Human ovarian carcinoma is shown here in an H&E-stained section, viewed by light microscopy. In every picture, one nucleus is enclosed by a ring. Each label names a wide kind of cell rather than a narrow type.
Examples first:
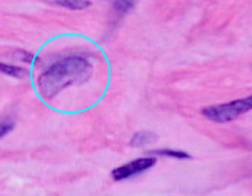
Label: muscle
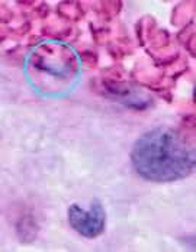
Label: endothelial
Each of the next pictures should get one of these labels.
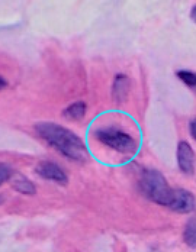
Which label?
muscle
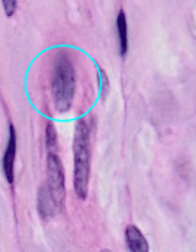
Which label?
endothelial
